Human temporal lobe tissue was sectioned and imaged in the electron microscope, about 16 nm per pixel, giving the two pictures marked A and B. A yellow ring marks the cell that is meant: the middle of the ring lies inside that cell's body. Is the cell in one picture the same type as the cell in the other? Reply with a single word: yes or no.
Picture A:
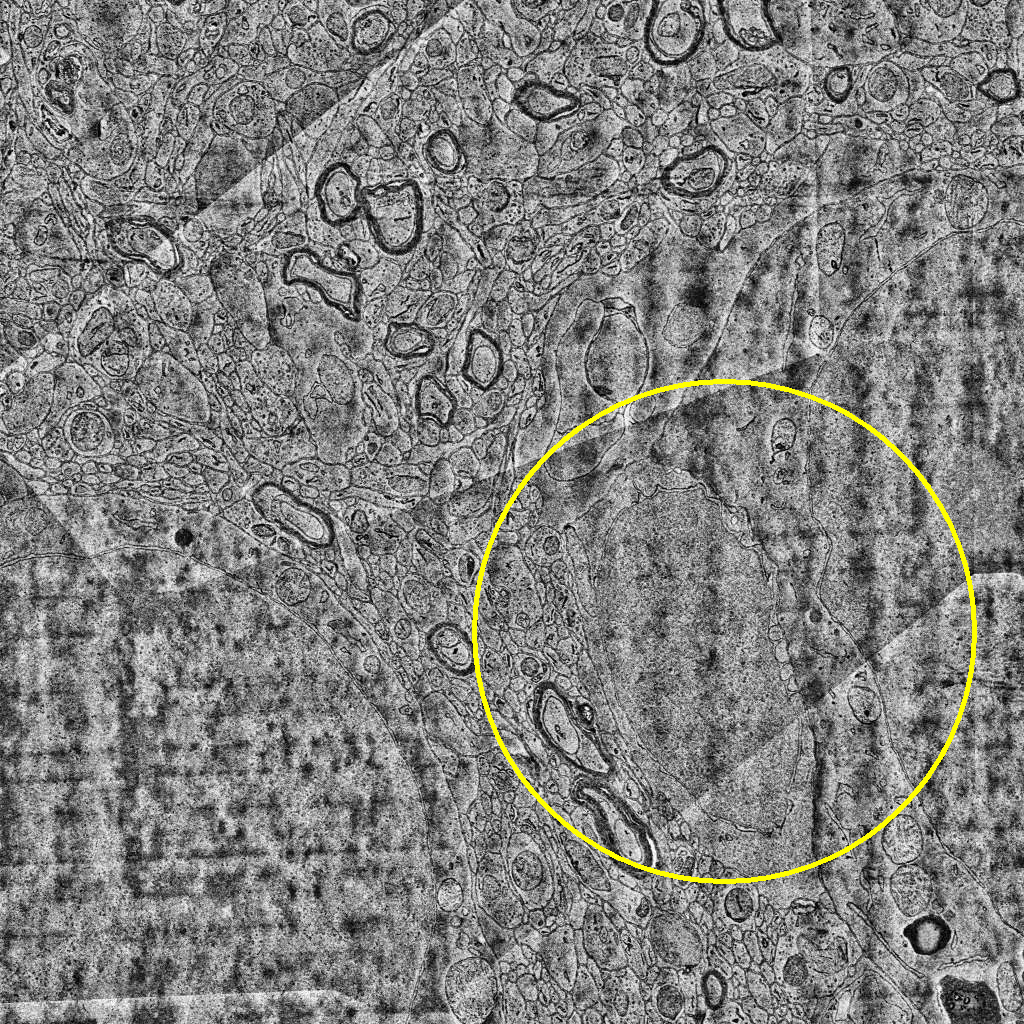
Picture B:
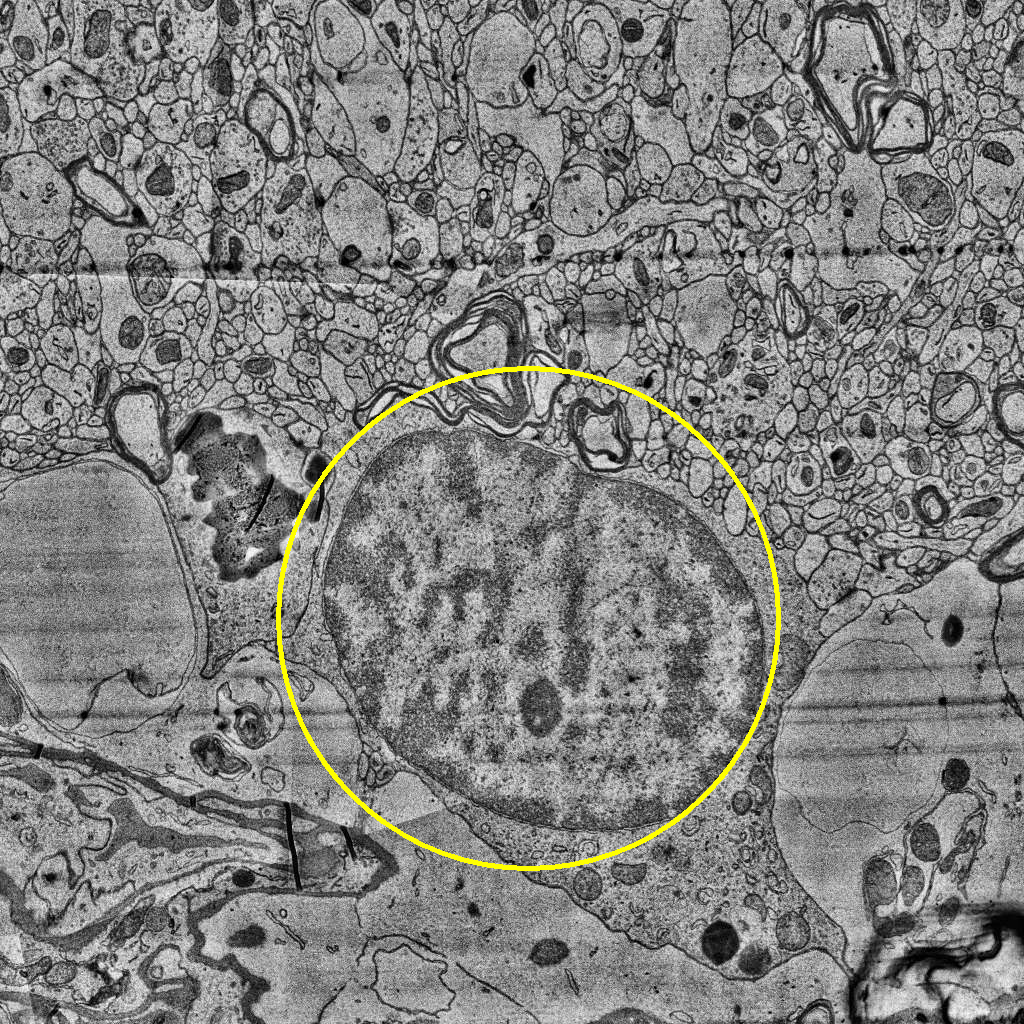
yes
